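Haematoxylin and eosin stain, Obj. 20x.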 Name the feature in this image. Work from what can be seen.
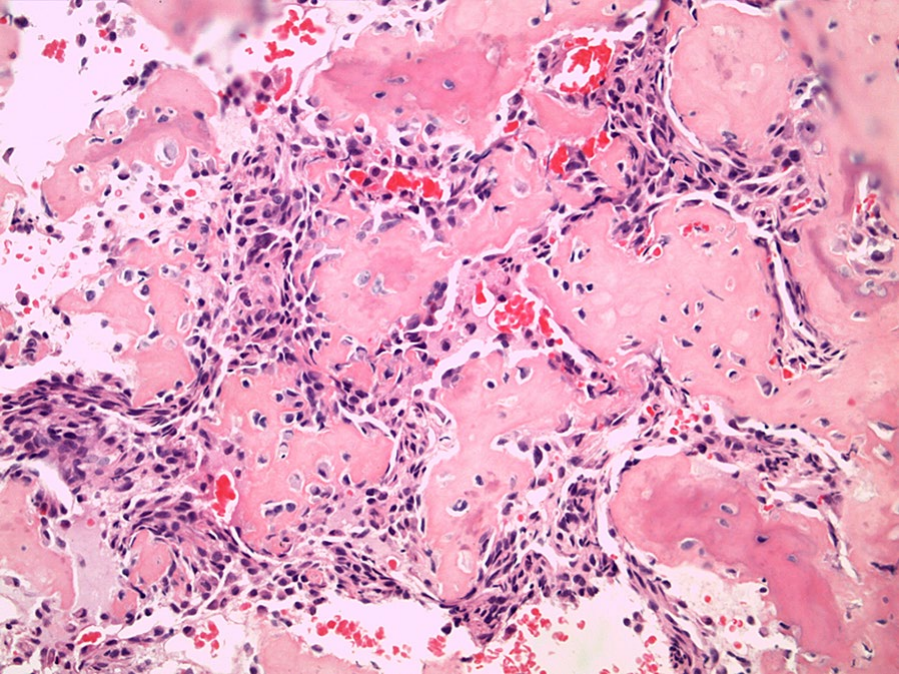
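Extracellular lakes of osteoid. Large irregular islands of homogeneous pink matrix fill much of the field. Scattered cells sit within the pink matrix. The matrix islands are separated by bands of densely cellular tissue.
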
